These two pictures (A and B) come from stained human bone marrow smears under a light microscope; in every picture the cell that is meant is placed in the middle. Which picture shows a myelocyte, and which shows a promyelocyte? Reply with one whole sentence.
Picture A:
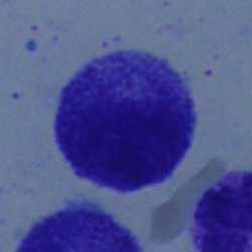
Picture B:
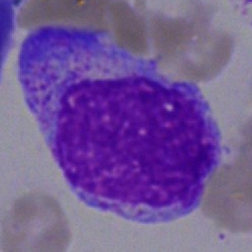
The cell in picture A is a myelocyte, and the one in picture B is a promyelocyte.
